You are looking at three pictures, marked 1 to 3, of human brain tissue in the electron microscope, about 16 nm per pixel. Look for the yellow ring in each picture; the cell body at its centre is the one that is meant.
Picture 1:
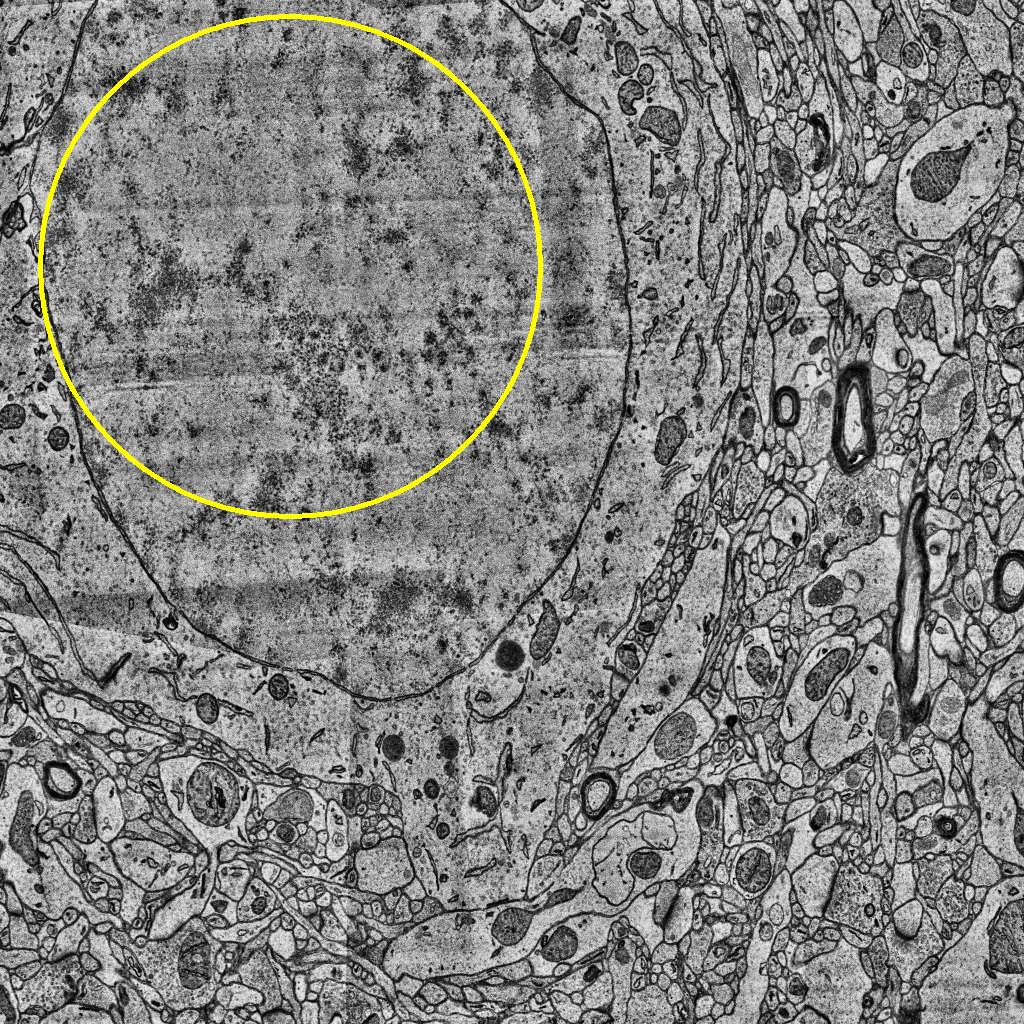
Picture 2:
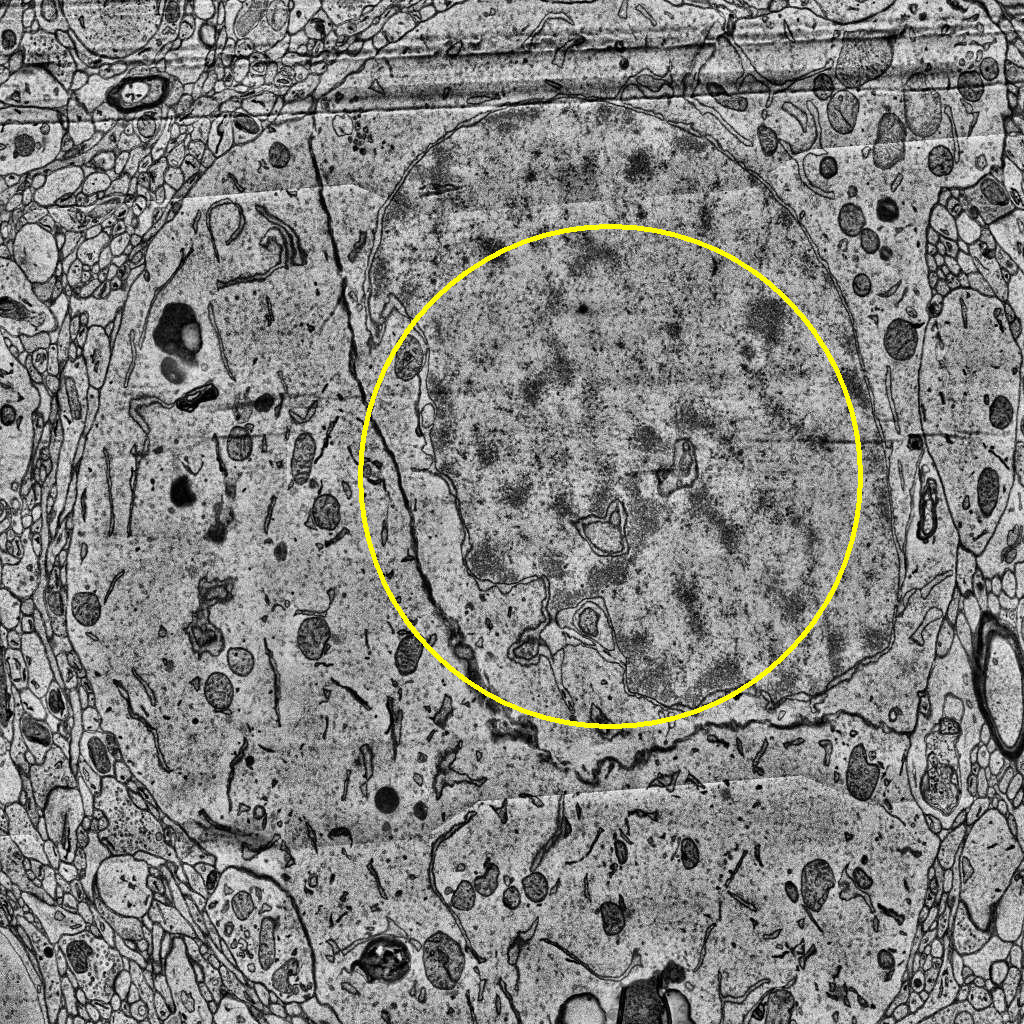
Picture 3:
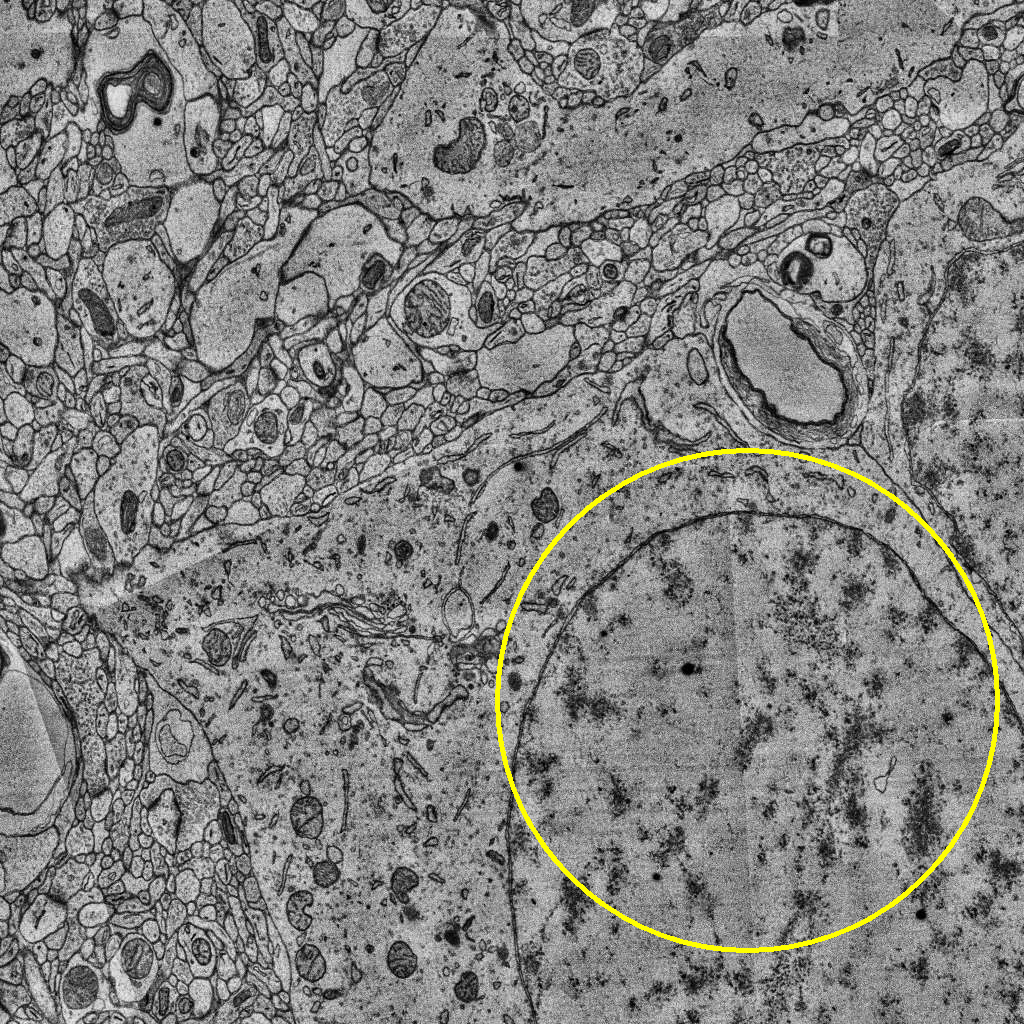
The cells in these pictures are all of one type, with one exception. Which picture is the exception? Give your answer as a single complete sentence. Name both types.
Unlike the rest, which show pyramidal neurons, picture 2 shows an interneuron.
